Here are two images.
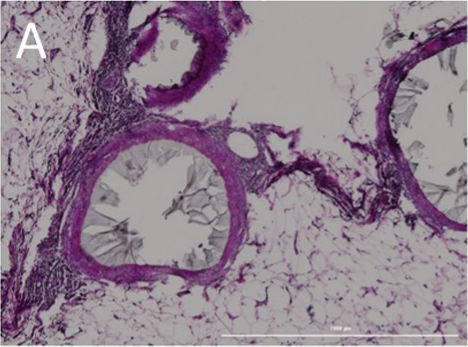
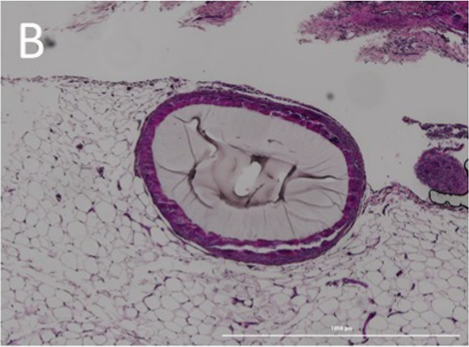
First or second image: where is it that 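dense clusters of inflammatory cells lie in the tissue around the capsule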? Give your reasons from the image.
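Second image: the purple capsule is bordered mostly by clean pale fatty tissue with few dark nuclei. First image: a dense band of dark-stained cells and fibrous strands lies beside the capsule, most on the left. On this evidence: the first image.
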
